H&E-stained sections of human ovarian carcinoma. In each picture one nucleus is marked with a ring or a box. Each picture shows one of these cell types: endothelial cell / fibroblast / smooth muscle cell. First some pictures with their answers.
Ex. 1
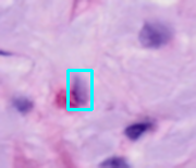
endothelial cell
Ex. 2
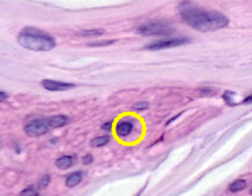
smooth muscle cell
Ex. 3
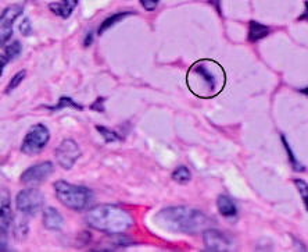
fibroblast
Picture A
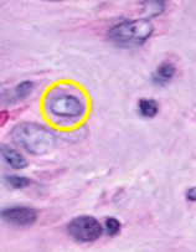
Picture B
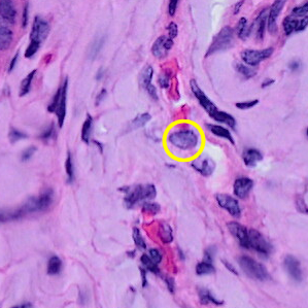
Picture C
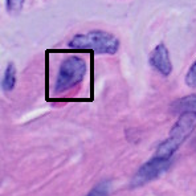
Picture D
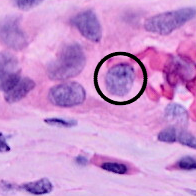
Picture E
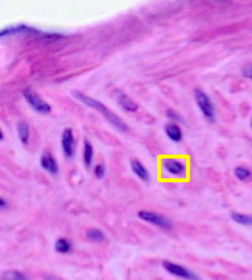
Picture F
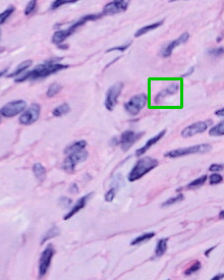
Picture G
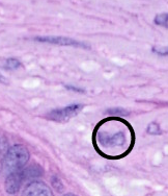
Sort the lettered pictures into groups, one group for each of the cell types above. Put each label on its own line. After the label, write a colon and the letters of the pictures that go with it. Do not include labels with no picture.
endothelial cell: A, B, C, D
fibroblast: G
smooth muscle cell: E, F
